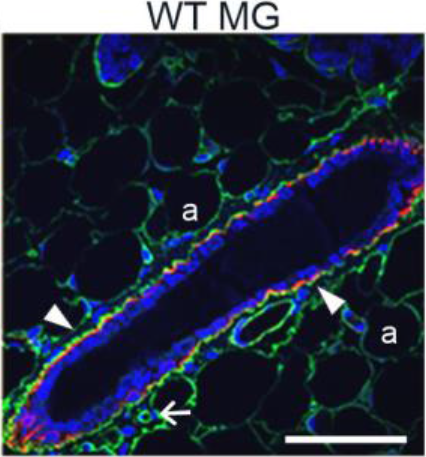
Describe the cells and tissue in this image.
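A mammary duct cut lengthwise is lined by epithelial cells with blue nuclei and surrounded by a thin continuous red layer of myoepithelial cells, outside which runs a green basement membrane. The duct lies in fat tissue made of large empty adipocytes, each outlined by a fine green network, with small vessels ringed by green among them.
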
